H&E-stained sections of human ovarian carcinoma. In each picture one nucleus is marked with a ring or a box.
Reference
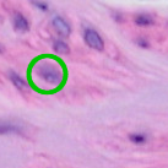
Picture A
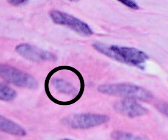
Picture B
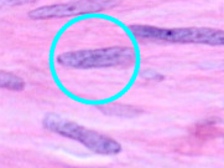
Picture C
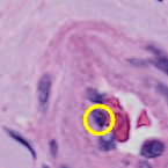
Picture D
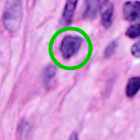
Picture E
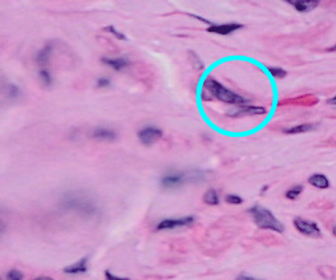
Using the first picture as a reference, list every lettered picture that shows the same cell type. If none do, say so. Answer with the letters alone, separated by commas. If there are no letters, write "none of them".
A, B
